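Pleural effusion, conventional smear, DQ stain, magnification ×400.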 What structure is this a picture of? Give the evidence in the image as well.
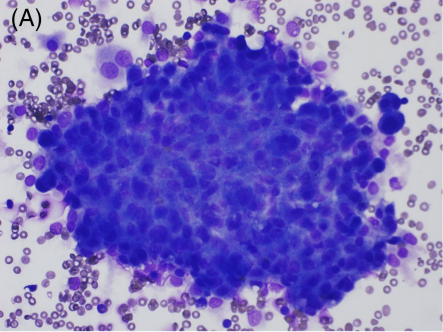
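Cohesive aggregate of mononuclear cells. A large, irregular, three-dimensional cluster of tightly packed cells. The cells have single round to oval nuclei. Red blood cells lie around the cluster.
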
